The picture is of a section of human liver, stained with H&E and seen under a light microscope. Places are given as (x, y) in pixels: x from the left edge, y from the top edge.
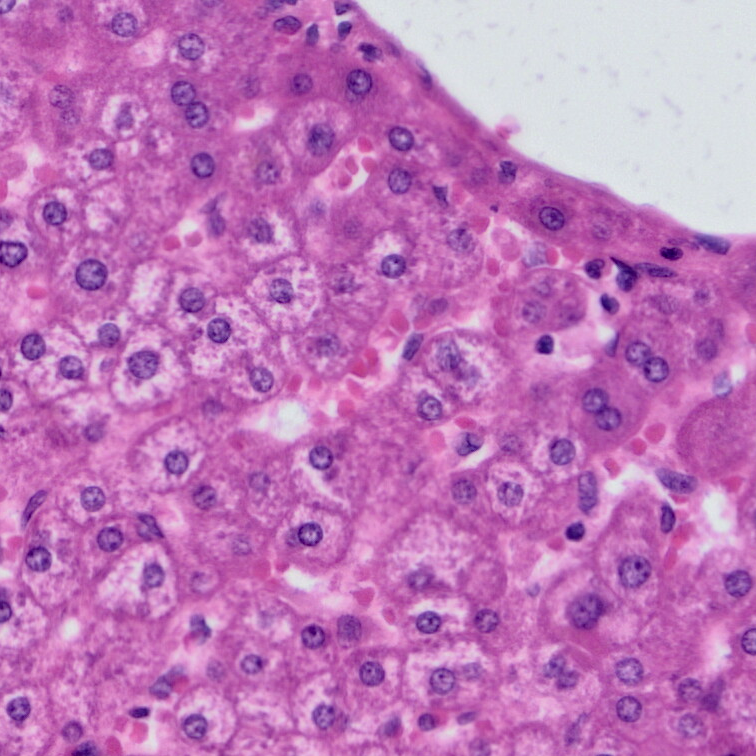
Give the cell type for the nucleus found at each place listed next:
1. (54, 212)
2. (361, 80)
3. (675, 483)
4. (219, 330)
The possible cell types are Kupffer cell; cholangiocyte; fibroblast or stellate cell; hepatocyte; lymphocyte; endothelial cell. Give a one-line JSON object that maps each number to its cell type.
{"1": "hepatocyte", "2": "hepatocyte", "3": "Kupffer cell", "4": "hepatocyte"}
